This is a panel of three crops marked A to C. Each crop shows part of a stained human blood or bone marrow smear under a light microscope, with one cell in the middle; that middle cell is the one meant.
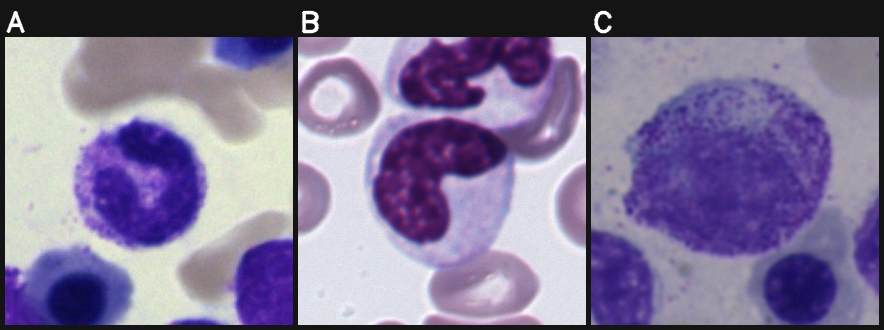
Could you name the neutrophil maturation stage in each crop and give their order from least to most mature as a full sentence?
The progression from least to most mature runs crop C (a myelocyte), crop B (a band neutrophil) and crop A (a segmented neutrophil).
